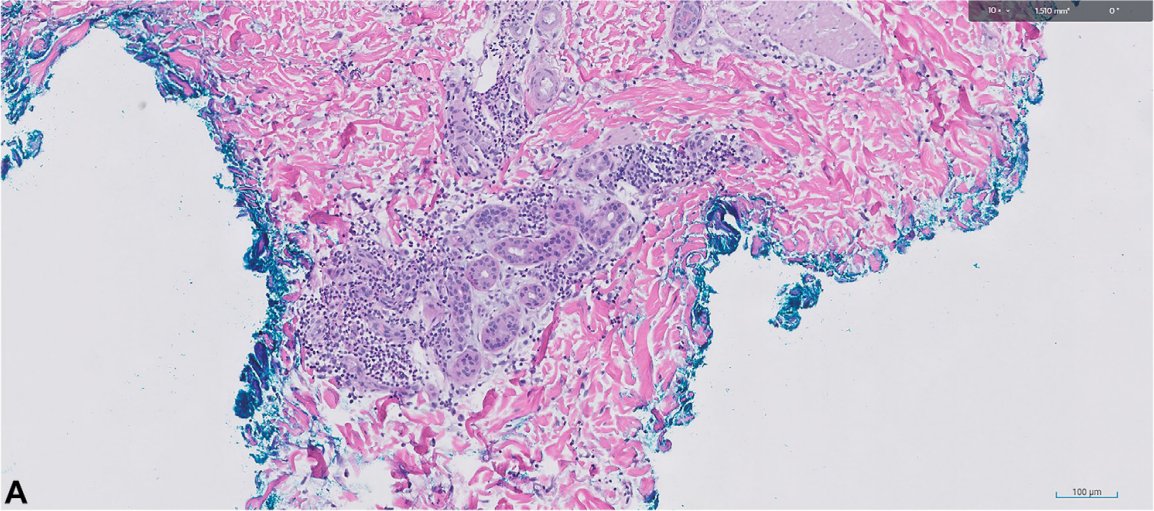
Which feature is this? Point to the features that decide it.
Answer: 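A cluster of small round tubules lies in the dermis. The tubules are lined by cuboidal cells with pink cytoplasm around small central lumina.
Answer: eccrine glands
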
